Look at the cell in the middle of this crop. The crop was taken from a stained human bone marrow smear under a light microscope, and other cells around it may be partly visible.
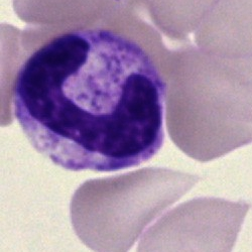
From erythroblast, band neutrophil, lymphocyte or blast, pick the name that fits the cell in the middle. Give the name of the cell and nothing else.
band neutrophil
